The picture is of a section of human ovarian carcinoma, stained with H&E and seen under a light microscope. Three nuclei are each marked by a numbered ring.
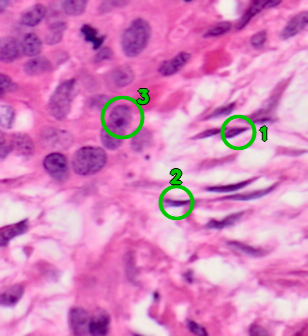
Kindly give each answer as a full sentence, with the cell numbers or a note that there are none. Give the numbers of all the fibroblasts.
Identification: the cells with numbers 1 and 2 are fibroblasts.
